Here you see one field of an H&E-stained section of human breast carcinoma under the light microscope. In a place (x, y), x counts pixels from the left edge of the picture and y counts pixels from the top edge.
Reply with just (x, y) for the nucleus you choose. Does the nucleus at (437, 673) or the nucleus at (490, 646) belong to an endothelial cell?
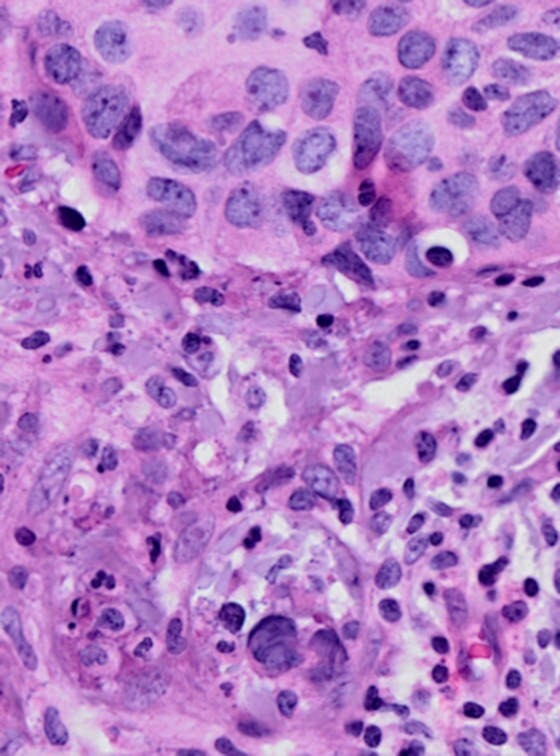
(490, 646)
